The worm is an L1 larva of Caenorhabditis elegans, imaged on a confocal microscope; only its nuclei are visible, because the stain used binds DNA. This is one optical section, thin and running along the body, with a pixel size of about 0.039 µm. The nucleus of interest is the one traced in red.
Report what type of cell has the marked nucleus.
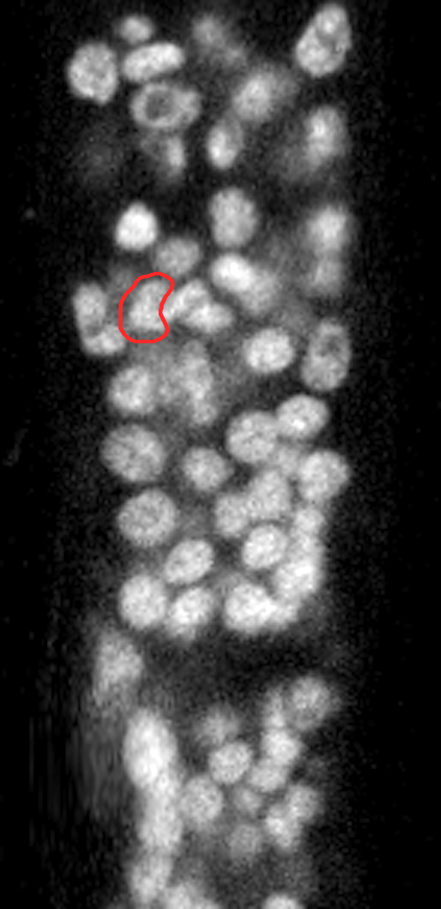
pharyngeal muscle cell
